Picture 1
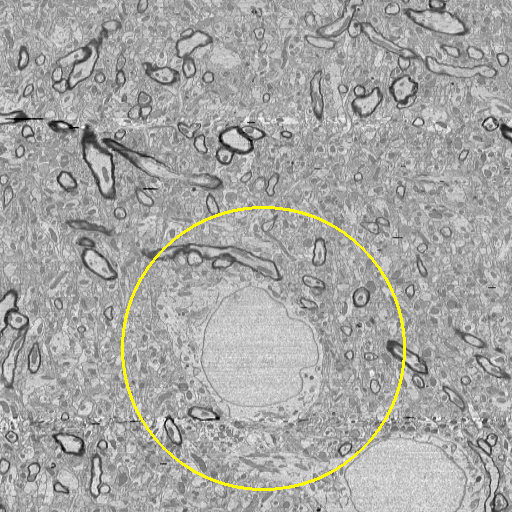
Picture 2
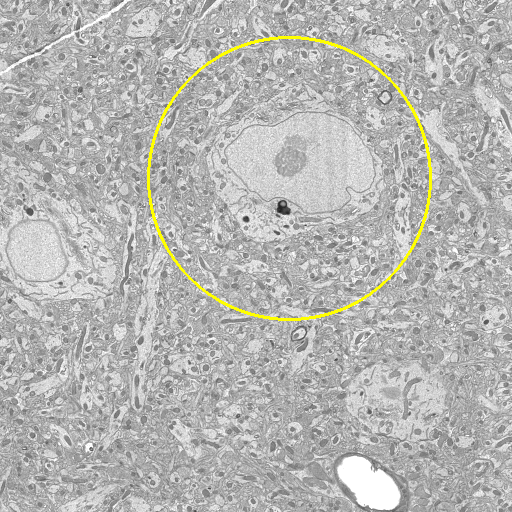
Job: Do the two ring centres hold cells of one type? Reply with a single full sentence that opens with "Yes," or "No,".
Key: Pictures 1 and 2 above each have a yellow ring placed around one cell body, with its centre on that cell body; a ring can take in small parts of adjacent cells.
Yes, the cells at the two ring centres are of one single type.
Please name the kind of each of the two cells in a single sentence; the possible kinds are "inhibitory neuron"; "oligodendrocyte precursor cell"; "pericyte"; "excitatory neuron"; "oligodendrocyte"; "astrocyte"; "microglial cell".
The first and the second cell are each an excitatory neuron.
